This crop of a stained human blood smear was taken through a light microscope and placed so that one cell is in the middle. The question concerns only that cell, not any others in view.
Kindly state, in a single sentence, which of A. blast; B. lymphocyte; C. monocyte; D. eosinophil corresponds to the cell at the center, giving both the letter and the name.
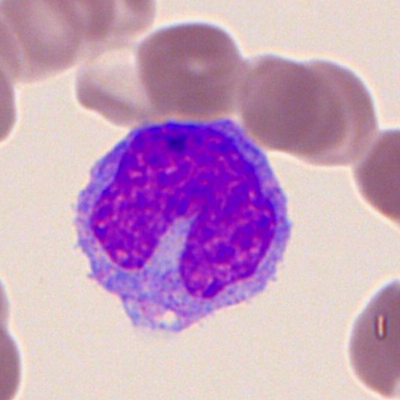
The one cell at the centre is a monocyte, as correctly stated in option C.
